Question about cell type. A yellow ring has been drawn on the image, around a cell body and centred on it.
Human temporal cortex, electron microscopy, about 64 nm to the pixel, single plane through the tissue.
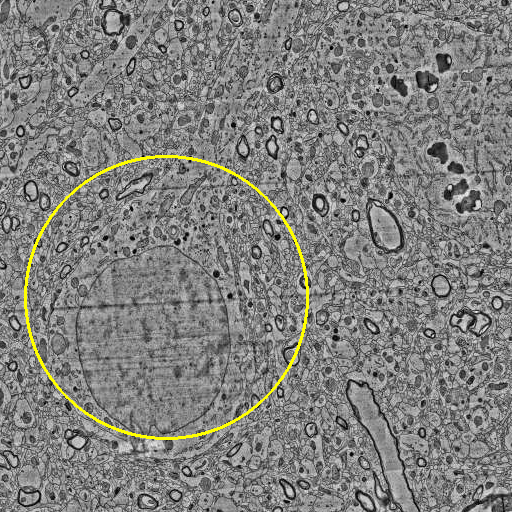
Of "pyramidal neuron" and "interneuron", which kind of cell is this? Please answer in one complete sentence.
At the centre of the ring lies a pyramidal neuron.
